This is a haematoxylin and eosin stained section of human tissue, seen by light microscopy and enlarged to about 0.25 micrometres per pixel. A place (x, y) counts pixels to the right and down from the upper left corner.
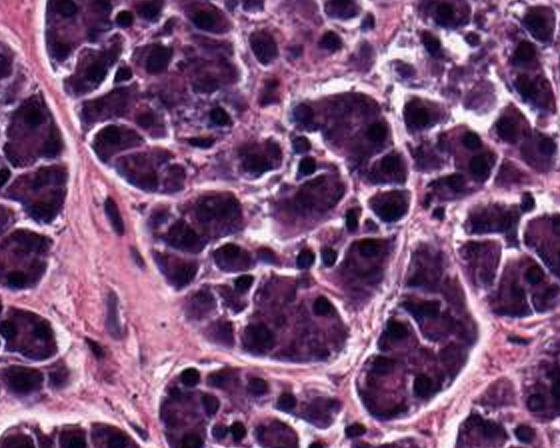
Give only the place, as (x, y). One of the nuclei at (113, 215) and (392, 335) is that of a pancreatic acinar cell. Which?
(392, 335)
